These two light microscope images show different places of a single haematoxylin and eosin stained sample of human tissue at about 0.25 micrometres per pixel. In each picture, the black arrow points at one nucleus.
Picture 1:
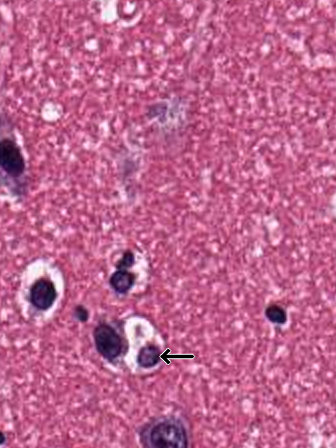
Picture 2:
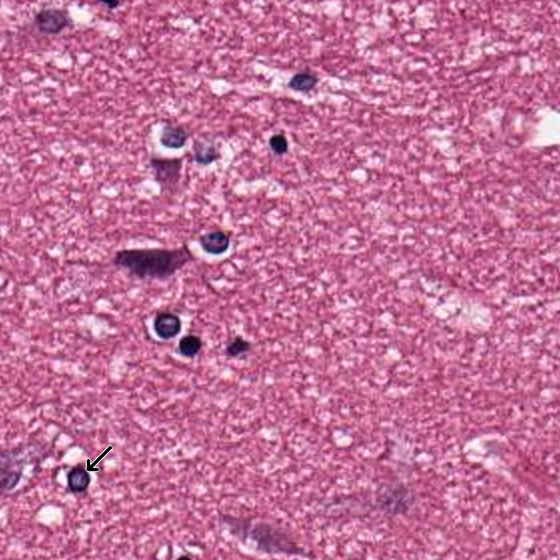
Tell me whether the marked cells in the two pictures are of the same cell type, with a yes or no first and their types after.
Yes, both are oligodendrocytes.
